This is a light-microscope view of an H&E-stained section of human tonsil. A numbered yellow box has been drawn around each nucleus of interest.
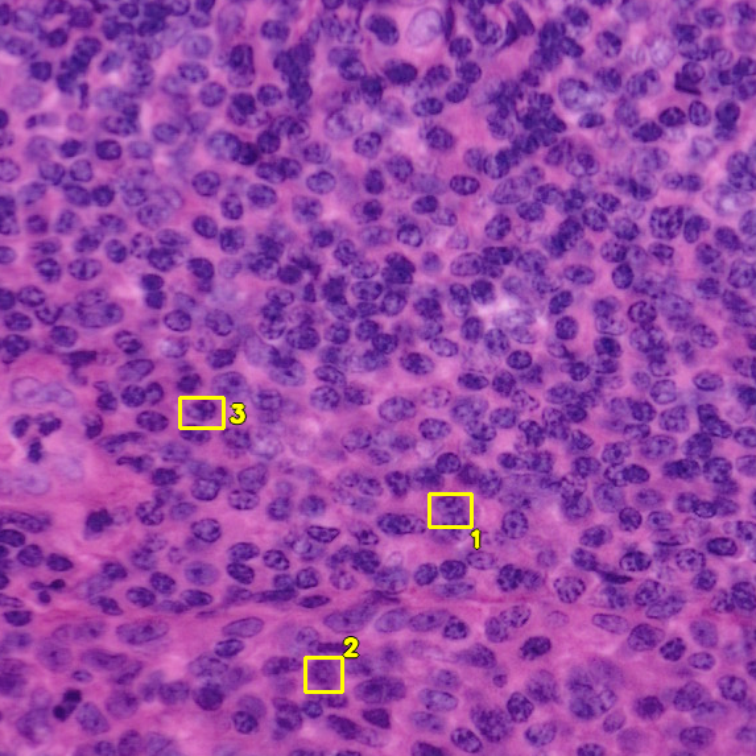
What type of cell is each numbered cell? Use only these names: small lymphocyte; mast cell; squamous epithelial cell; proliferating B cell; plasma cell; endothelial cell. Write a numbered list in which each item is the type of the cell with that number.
1. plasma cell
2. squamous epithelial cell
3. plasma cell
